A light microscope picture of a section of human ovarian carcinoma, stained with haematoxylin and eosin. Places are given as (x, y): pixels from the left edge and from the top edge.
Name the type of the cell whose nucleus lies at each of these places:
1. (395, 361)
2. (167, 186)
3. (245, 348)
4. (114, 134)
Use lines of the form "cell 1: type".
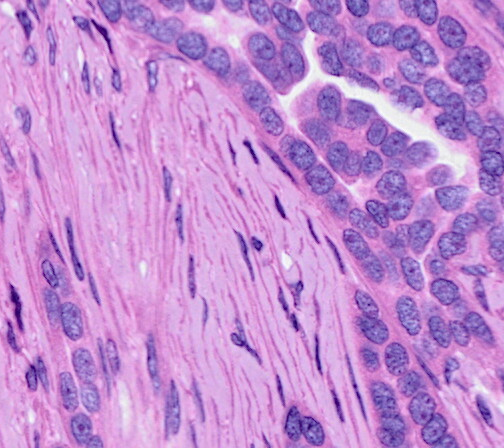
cell 1: carcinoma cell
cell 2: fibroblast
cell 3: fibroblast
cell 4: fibroblast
